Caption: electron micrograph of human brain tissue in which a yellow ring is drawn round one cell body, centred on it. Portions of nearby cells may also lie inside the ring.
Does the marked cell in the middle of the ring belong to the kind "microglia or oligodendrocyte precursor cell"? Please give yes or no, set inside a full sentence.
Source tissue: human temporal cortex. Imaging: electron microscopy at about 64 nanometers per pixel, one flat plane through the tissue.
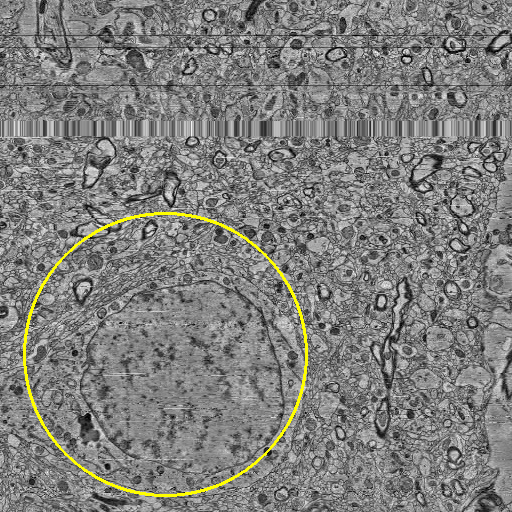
No, the marked cell that the ring is centred on in the picture is of another kind.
